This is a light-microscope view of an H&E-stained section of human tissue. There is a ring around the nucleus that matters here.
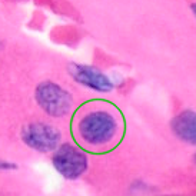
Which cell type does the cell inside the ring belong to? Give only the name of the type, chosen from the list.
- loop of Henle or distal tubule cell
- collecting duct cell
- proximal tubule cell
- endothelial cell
loop of Henle or distal tubule cell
